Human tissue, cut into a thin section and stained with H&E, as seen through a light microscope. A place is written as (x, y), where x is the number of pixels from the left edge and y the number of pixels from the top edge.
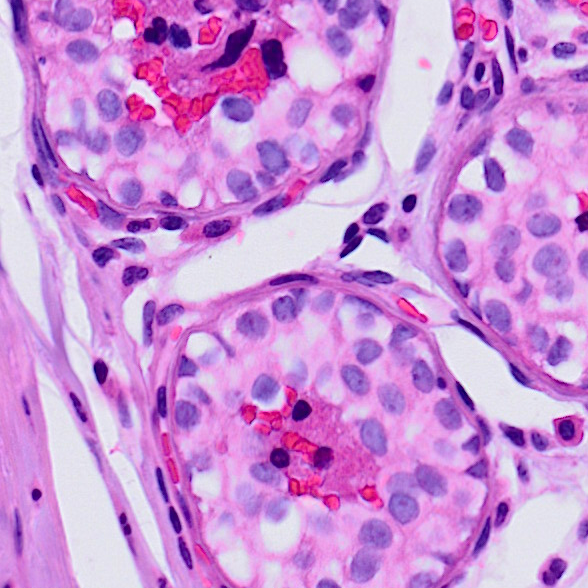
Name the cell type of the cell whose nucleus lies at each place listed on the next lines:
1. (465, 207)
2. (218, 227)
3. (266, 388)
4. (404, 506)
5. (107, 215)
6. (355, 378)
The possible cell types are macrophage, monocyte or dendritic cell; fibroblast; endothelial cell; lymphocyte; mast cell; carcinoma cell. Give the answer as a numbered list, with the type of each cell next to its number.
1. carcinoma cell
2. mast cell
3. carcinoma cell
4. carcinoma cell
5. endothelial cell
6. carcinoma cell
